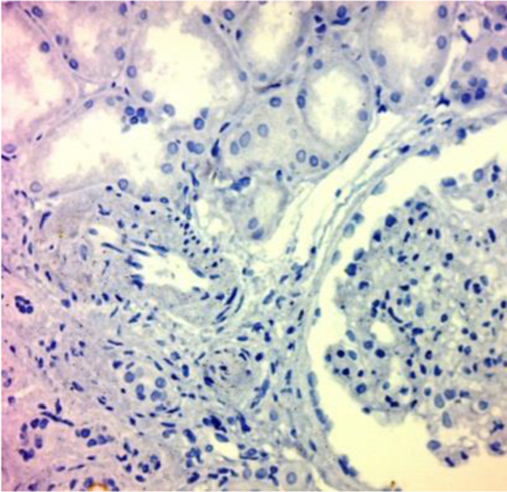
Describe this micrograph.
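This is kidney tissue in which tubules with cuboidal epithelium and pale lumina surround a rounded, cell-rich tuft lying within a clear space. Everything is stained blue only; the tubular epithelium shows no brown in its cytoplasm. On the left, interstitium with spindle-shaped nuclei surrounds a small vessel with a thick wall.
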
